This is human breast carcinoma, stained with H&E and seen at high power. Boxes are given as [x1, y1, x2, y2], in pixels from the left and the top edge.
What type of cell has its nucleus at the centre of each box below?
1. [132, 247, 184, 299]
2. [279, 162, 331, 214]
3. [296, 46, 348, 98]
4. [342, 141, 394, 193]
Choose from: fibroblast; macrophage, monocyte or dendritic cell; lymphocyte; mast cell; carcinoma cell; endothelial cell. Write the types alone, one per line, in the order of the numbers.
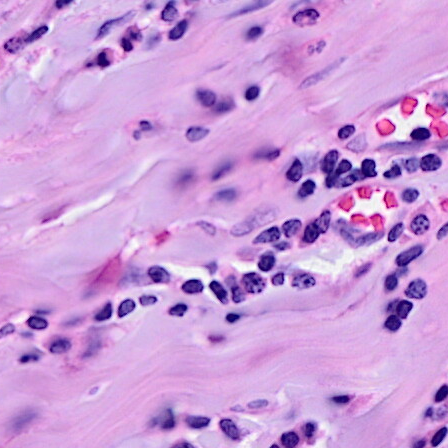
lymphocyte
lymphocyte
fibroblast
lymphocyte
